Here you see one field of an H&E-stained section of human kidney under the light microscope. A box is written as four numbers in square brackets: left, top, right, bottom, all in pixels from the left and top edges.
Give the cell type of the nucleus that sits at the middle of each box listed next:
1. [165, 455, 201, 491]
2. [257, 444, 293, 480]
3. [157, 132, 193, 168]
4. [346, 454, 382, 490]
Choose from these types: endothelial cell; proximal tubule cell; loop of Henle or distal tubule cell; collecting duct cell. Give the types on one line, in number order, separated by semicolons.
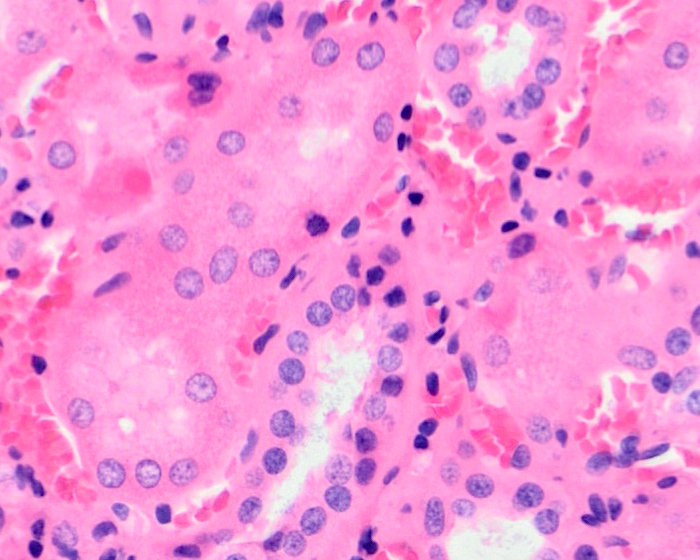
proximal tubule cell; collecting duct cell; proximal tubule cell; collecting duct cell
